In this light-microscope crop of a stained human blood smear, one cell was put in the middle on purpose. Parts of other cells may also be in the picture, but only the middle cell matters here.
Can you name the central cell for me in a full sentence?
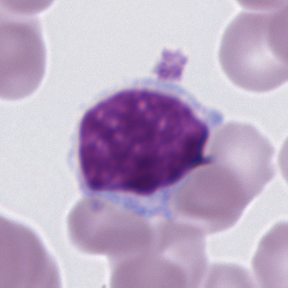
The target cell in the middle of the crop is a large granular lymphocyte.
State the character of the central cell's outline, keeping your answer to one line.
The edge is uneven, and this unevenness takes the form of ragged stretches or projections.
